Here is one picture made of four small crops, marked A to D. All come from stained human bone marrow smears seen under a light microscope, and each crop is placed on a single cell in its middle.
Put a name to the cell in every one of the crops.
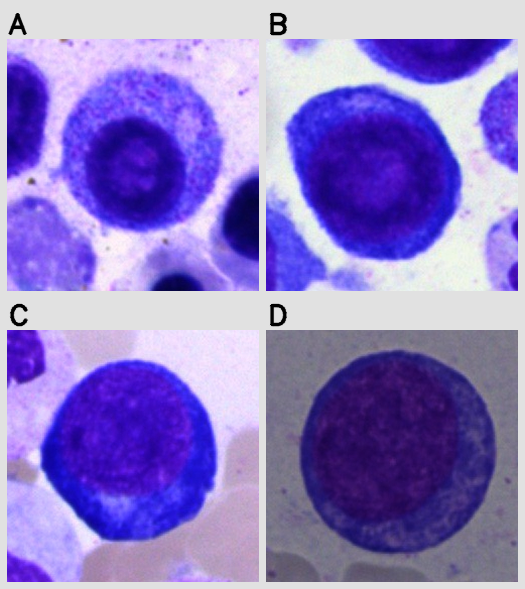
A: promyelocyte
B: proerythroblast
C: proerythroblast
D: proerythroblast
